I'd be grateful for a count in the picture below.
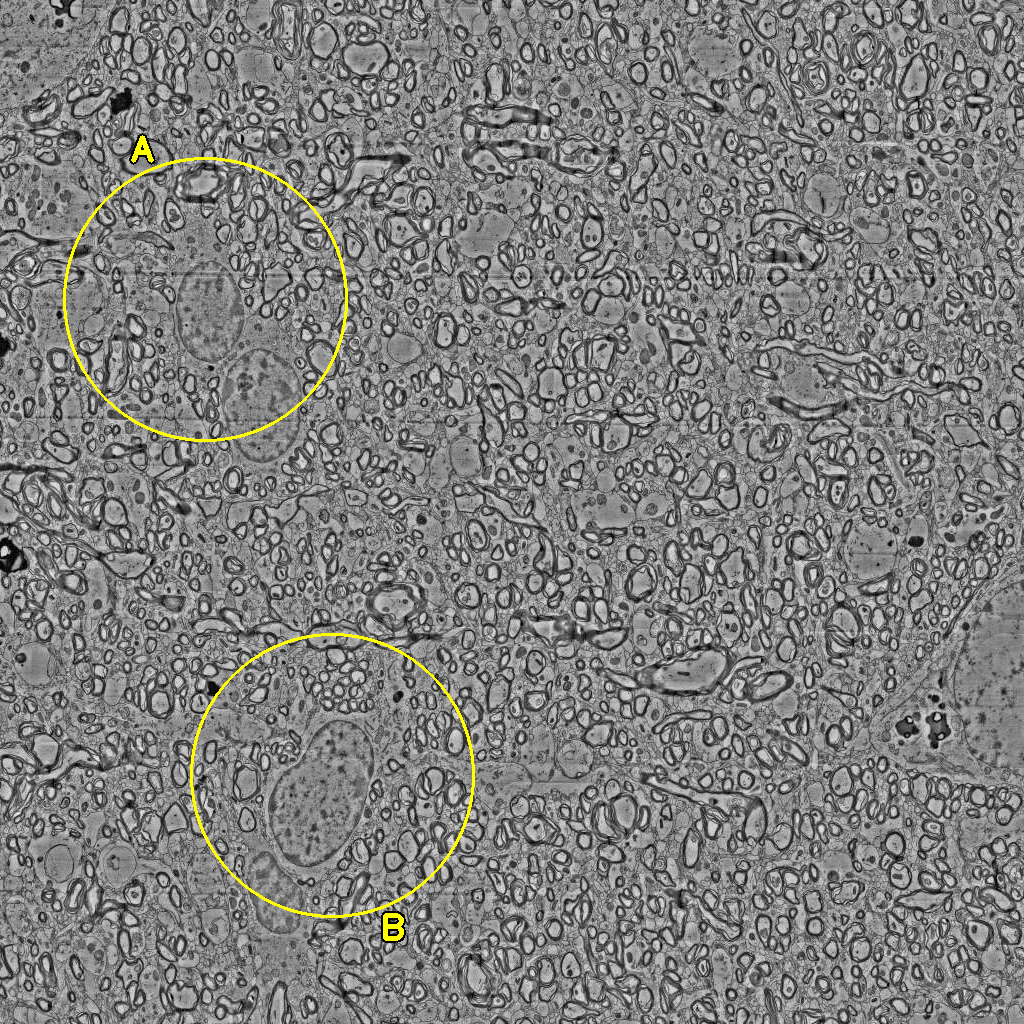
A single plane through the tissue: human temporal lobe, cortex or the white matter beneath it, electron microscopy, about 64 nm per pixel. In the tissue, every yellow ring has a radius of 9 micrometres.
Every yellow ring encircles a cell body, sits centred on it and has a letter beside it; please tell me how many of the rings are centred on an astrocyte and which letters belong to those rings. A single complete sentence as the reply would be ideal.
Every lettered ring is centred on something other than an astrocyte, so the count is zero.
